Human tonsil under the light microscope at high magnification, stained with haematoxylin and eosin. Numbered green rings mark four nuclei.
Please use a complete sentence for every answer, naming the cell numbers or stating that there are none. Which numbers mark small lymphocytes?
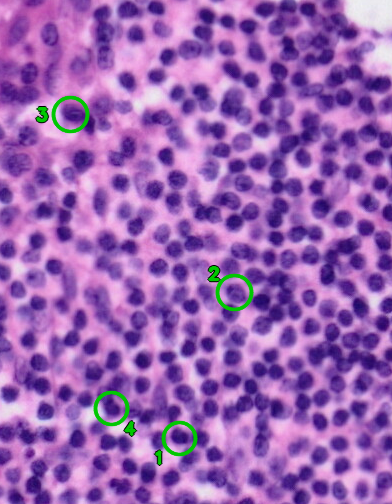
The cells assigned the numbers 1, 2 and 4 are small lymphocytes.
